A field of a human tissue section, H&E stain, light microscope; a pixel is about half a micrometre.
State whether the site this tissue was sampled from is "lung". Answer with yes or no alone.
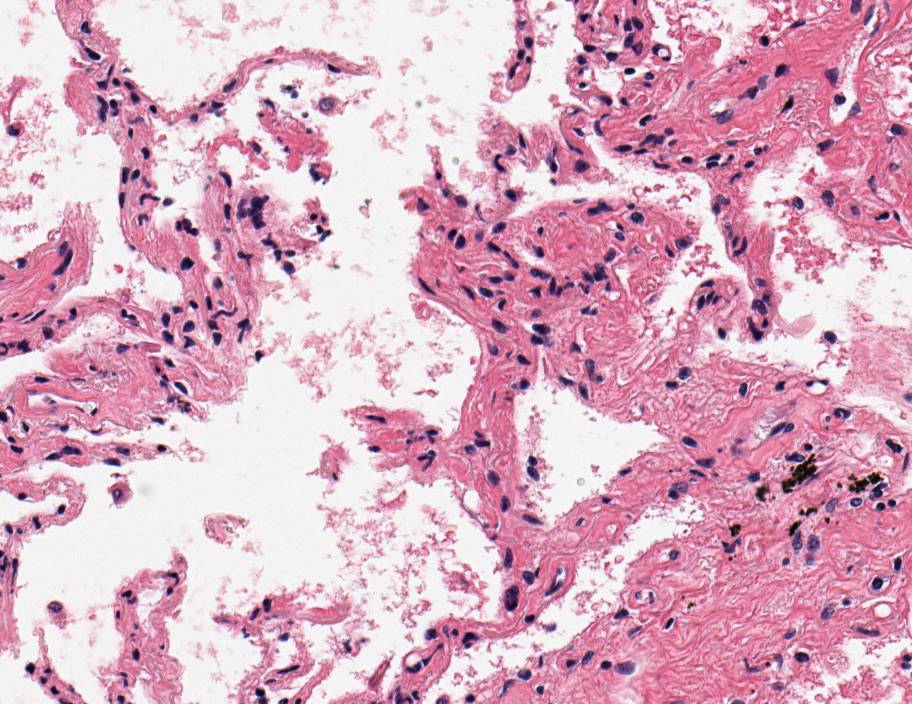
yes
